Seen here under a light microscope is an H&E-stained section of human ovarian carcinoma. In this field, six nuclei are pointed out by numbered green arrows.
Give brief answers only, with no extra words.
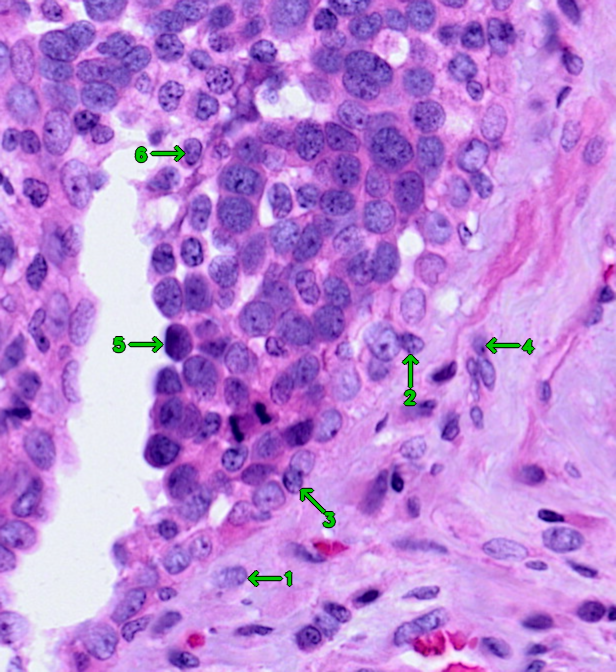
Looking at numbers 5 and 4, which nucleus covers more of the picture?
5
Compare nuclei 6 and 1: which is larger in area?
1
